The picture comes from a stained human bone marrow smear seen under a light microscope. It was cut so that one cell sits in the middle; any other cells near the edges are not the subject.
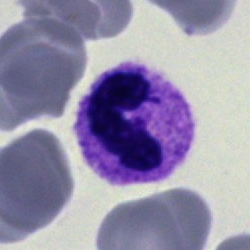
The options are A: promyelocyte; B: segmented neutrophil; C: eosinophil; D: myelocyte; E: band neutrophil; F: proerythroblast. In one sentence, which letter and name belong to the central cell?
The middle of the crop holds a band neutrophil, which points to option E.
